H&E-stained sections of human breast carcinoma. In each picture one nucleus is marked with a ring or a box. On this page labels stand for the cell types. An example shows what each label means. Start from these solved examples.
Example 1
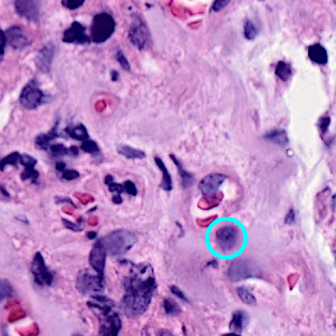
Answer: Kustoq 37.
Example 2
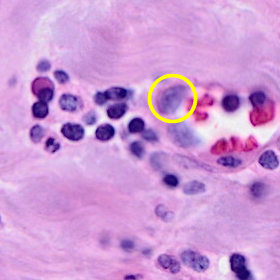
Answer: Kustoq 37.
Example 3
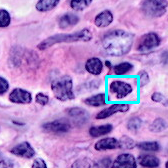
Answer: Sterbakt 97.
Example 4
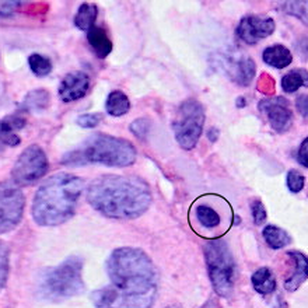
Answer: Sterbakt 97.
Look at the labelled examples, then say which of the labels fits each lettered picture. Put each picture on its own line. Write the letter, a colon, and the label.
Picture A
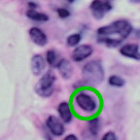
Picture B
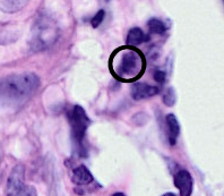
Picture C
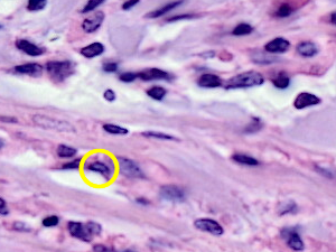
A: Sterbakt 97.
B: Sterbakt 97.
C: Kustoq 37.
